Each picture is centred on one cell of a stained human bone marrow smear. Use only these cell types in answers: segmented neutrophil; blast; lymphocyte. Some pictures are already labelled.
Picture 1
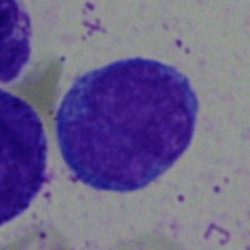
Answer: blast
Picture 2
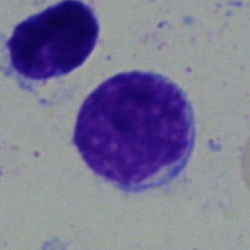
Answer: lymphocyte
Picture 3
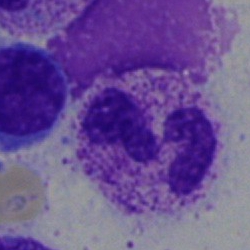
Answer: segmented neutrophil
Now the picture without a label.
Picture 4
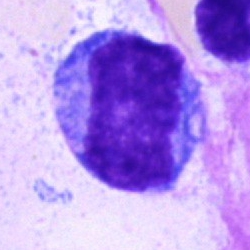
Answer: blast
